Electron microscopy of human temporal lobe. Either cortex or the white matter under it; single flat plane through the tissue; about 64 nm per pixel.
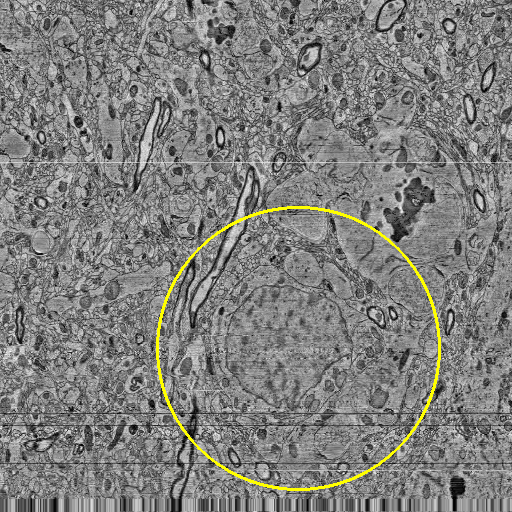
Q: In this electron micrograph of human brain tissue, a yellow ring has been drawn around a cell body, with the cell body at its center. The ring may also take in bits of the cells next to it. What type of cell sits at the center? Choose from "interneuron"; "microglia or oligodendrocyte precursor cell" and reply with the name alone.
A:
interneuron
